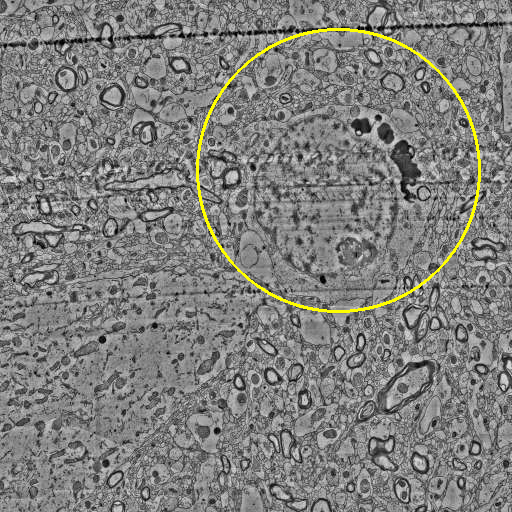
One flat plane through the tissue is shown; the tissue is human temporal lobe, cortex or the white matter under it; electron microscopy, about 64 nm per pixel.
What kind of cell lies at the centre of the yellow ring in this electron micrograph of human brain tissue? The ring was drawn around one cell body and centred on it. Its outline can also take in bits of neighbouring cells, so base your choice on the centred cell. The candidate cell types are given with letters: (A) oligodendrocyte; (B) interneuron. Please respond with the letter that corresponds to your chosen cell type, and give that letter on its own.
B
